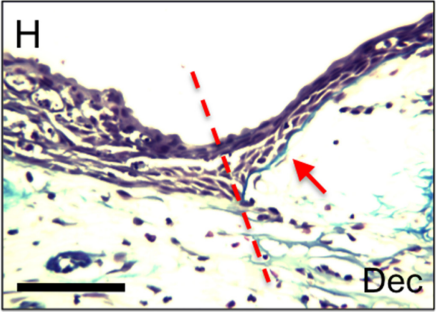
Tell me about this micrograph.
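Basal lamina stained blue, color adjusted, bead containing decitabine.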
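Wound epidermis and underlying loose connective tissue of skin. The epidermis is several cells thick, with closely packed cells bearing dark purple oval nuclei, and dips downward in the middle of the field. Below it lies pale, loose tissue with scattered small dark nuclei and thin blue-green fibres. No gland cavities are seen within the epidermis here. A small vessel-like profile lies in the lower left of the connective tissue.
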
